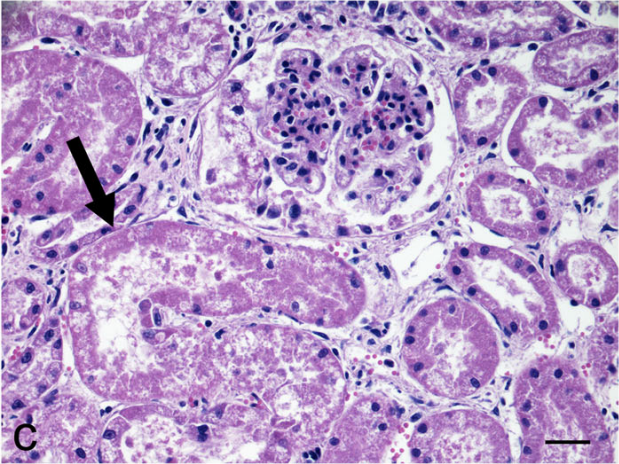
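This is kidney cortex showing a glomerulus surrounded by tubules. Several tubules have lumens filled with granular pink material, and one large tubule has lost most of its lining nuclei. Other tubules nearby still have cuboidal epithelium with round dark nuclei, giving a contrast with the damaged ones. Scattered red blood cells lie in the interstitium.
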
